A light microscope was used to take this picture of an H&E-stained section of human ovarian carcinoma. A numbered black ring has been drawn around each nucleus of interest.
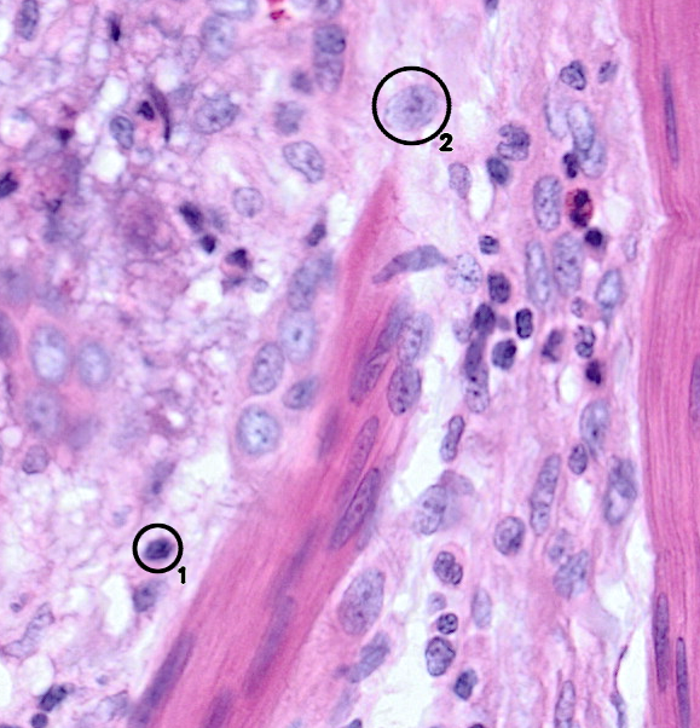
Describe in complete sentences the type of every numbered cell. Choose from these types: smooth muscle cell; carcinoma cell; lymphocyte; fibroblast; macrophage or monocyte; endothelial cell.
Cell 1 is a lymphocyte. Cell 2 is a fibroblast.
